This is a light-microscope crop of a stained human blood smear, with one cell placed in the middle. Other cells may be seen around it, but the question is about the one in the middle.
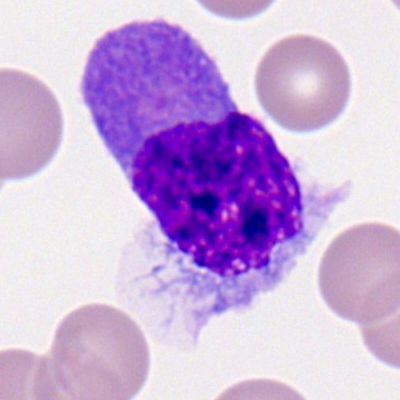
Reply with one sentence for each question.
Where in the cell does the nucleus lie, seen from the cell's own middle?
Seen from the middle of the cell, the nucleus lies toward the lower right.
